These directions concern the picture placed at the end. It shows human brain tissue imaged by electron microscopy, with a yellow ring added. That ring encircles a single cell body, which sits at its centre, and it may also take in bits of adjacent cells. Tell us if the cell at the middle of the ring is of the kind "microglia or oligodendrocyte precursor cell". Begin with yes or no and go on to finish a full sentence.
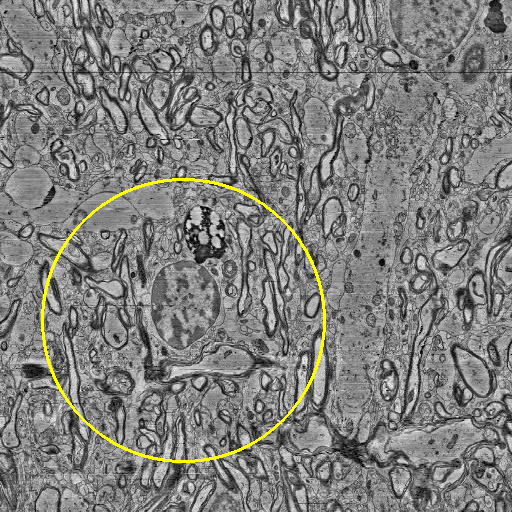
Yes, the cell sitting at the centre of the yellow ring in the picture is of that kind.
